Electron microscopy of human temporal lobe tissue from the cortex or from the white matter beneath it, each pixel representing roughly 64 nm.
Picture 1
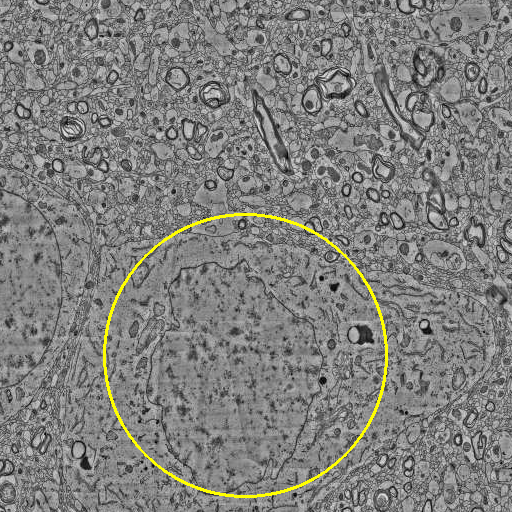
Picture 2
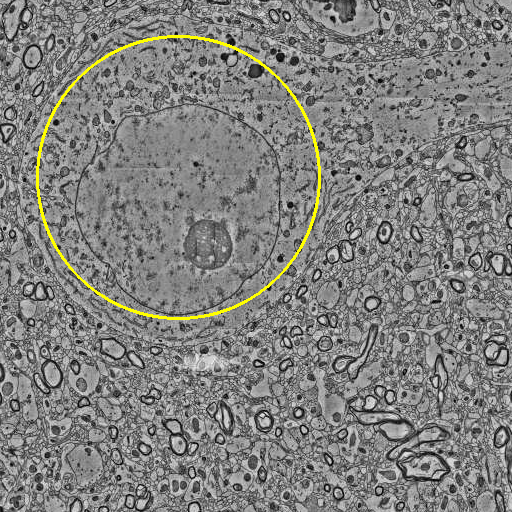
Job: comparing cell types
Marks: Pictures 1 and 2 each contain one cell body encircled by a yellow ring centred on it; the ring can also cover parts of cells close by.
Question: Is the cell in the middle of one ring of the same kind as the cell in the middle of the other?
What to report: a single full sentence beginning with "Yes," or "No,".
Yes, the cell at the ring centre in Picture 1 and its partner in Picture 2 are of one kind.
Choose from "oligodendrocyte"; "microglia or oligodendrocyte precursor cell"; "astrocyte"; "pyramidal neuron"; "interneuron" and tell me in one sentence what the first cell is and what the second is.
Each of the two rings is centred on a pyramidal neuron.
